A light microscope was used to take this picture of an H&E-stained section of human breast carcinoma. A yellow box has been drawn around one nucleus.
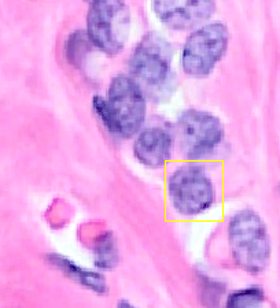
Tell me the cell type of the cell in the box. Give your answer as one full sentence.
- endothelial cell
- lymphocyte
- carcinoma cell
The identity of the cell in the box: it is a carcinoma cell.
